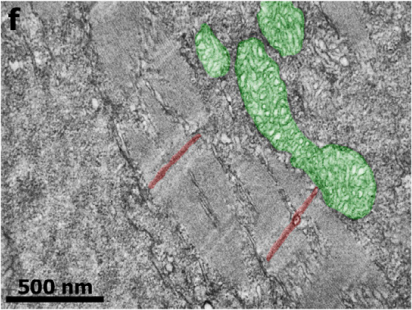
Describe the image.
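Between the myofibrils lies a large, elongated, curved mitochondrion tinted green, with densely packed folded cristae, and smaller green mitochondria sit nearby. The myofibrils look well-organized and the membranes of the mitochondria appear intact.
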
